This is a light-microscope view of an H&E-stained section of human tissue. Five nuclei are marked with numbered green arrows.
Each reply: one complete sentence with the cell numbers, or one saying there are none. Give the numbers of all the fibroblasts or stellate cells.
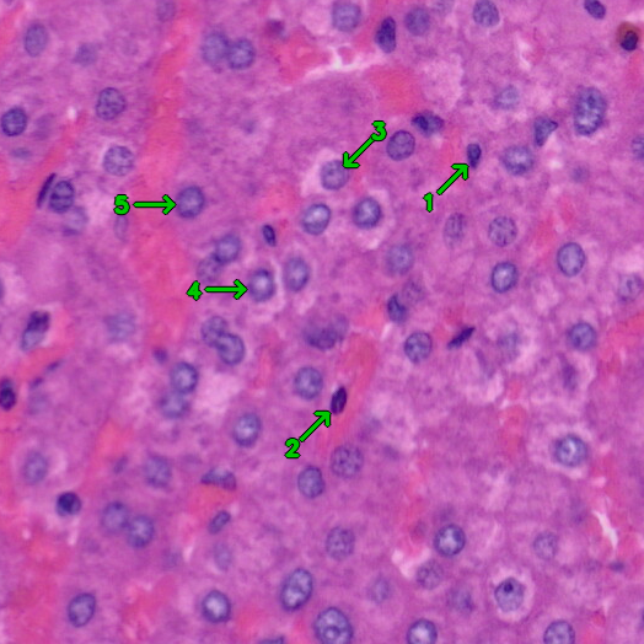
The numbered cells include exactly one that is a fibroblast or stellate cell, which is cell 1.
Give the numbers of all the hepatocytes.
The cells numbered 3, 4 and 5 are of one kind: hepatocytes.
